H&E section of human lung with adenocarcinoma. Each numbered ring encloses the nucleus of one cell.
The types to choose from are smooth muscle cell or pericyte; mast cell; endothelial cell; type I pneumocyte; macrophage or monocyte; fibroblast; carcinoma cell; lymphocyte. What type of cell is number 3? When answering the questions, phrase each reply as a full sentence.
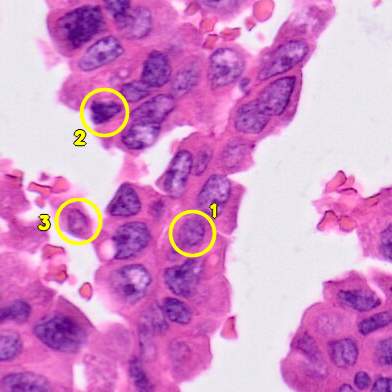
Belonging to a macrophage or monocyte is the nucleus that carries the number 3.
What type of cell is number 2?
The cell numbered 2 has been identified as a carcinoma cell.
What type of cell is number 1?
The cell pointed out as number 1 is a carcinoma cell.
